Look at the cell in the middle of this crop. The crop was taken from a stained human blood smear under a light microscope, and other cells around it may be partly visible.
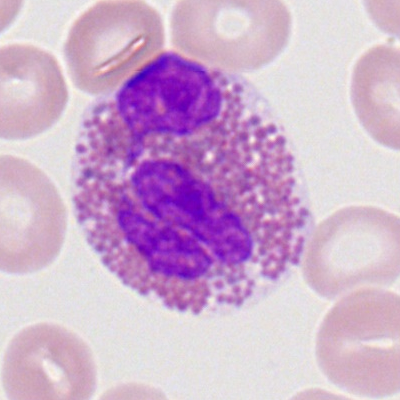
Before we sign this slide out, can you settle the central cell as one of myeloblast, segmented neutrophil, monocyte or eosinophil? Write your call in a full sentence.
The crop centres on a single cell, and that cell is an eosinophil.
